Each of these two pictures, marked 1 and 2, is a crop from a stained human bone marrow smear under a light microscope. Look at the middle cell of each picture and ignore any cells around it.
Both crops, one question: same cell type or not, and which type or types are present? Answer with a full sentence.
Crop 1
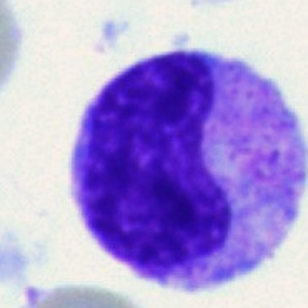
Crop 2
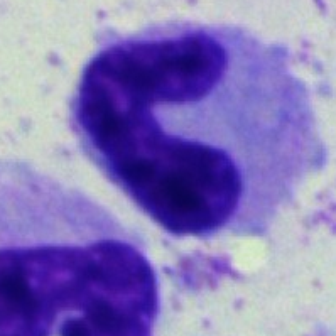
Yes, band neutrophils are at the centre in both crops.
